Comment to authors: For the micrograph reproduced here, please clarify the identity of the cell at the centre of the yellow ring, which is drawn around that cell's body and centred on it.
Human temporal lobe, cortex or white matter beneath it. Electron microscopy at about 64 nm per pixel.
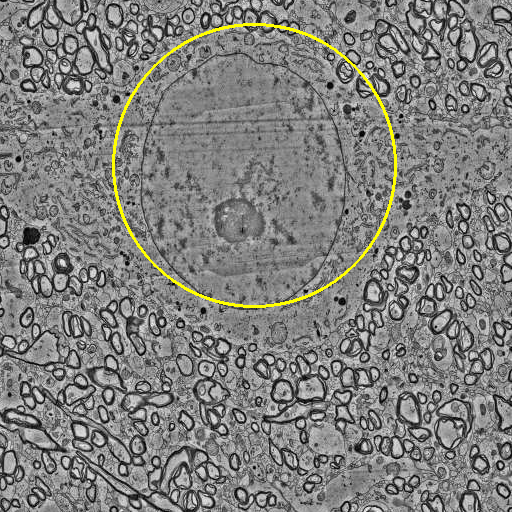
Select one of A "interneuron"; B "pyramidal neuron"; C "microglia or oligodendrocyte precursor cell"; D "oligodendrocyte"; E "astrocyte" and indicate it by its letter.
B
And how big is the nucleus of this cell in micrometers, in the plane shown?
The nucleus is approximately 17 micrometers long by 13 micrometers wide in this plane.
